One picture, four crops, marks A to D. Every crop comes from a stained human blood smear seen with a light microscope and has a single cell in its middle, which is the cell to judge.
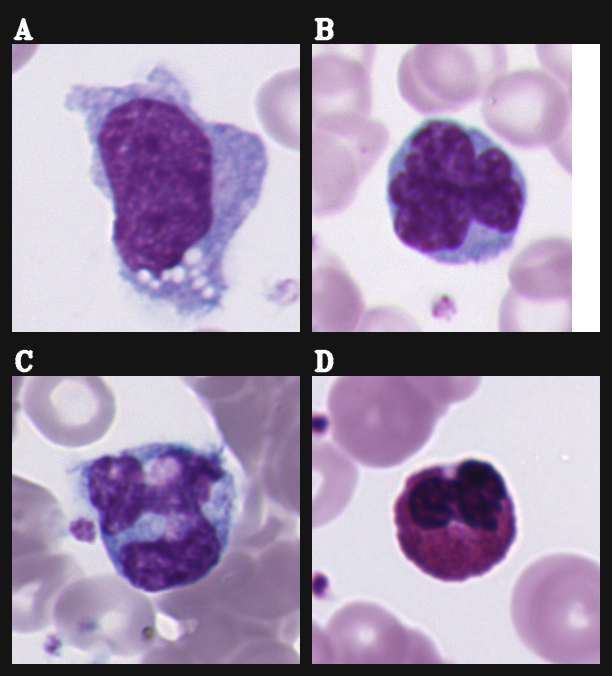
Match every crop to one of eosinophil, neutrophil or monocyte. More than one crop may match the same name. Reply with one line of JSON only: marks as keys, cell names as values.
{"A": "monocyte", "B": "monocyte", "C": "monocyte", "D": "eosinophil"}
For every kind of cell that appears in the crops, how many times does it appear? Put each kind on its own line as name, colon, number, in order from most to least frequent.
monocyte: 3
eosinophil: 1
